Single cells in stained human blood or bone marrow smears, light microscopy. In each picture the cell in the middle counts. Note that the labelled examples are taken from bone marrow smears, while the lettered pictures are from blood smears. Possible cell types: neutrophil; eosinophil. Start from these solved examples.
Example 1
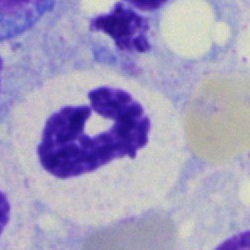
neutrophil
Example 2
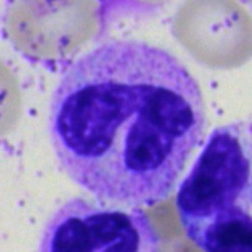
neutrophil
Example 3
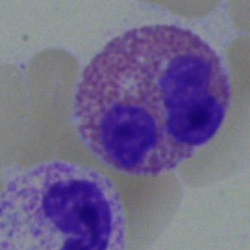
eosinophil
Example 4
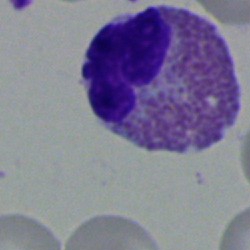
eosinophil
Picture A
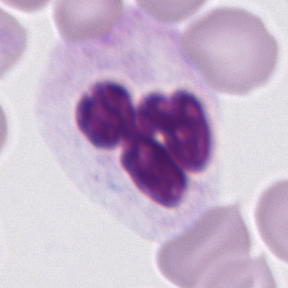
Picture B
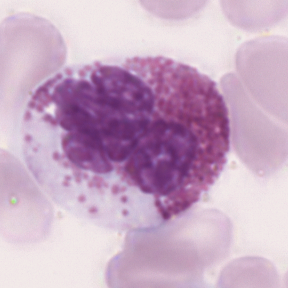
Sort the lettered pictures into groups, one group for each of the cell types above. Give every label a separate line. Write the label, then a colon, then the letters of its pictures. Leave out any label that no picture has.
neutrophil: A
eosinophil: B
